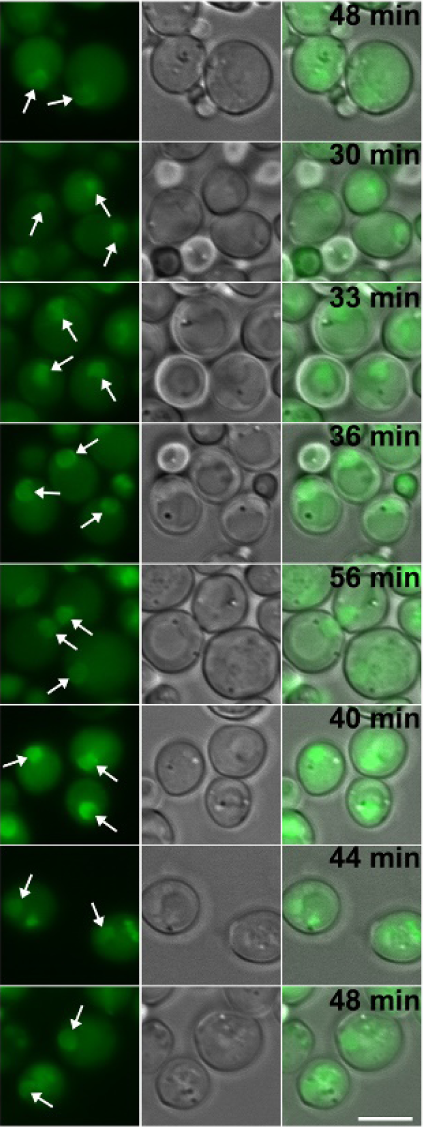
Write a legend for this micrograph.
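Round to oval yeast-like cells in rows of three matching tiles: green fluorescence, bright field, and overlay. In the fluorescence tiles each cell shows faint diffuse green throughout, with one rounded brighter green area at one side, taken as the nucleus and marked by white arrows. Bright-field tiles show smooth cell outlines, some with a large pale round compartment and small refractile dots; some cells are budding. In the overlay the bright green area lies within the cell outline, apart from the large pale compartment.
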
